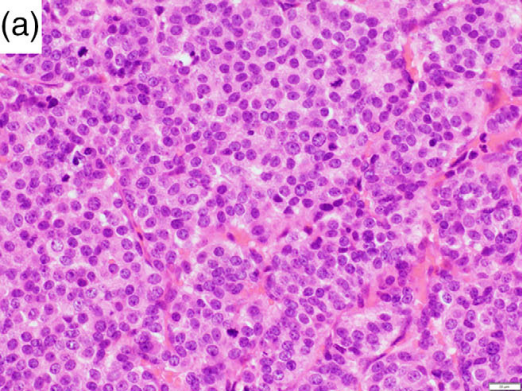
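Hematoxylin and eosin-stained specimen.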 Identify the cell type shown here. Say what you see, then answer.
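Small, round cells. Sheets and nests of densely packed cells with round nuclei. Cells are small with scant to moderate pale cytoplasm.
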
